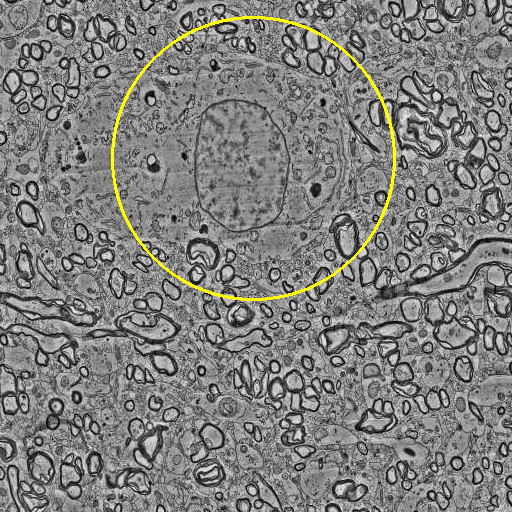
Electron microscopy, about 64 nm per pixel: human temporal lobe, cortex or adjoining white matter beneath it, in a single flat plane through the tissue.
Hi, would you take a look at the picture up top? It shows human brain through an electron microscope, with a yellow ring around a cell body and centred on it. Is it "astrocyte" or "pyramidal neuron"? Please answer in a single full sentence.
The best fit for the cell in the middle of the ring is a pyramidal neuron, I reckon.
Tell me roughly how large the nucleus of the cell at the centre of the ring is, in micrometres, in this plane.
In this plane, approximately 9 by 6 micrometers.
